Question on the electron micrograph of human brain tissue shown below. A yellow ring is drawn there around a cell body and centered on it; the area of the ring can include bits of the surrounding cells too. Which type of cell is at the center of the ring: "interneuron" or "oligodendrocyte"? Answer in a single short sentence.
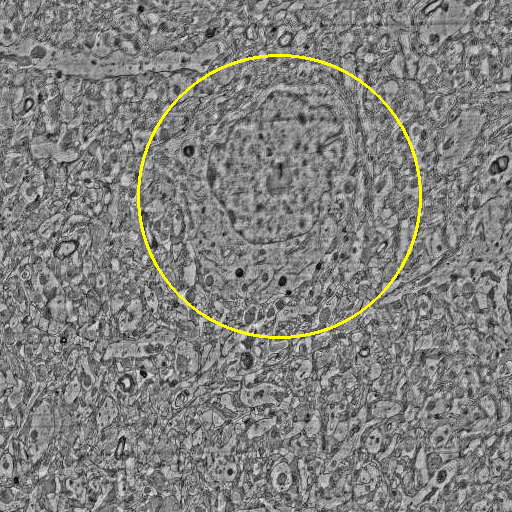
The ring is centered on an interneuron.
